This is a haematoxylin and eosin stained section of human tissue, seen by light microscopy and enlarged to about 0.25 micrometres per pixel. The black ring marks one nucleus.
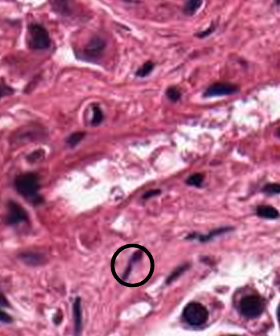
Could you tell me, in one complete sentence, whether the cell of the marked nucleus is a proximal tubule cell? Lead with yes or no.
No, as for the marked nucleus, it belongs to a supporting cell and not to a proximal tubule cell.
